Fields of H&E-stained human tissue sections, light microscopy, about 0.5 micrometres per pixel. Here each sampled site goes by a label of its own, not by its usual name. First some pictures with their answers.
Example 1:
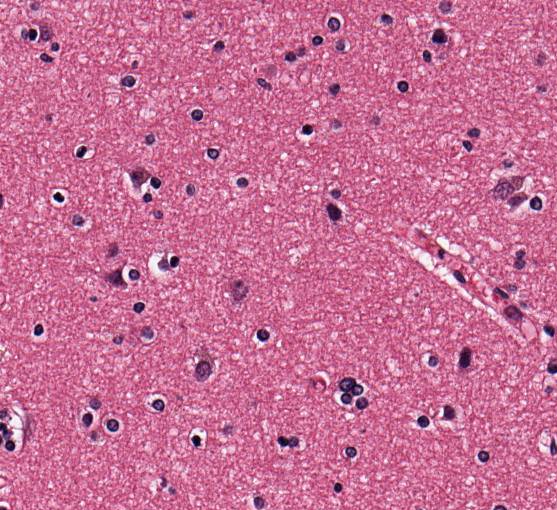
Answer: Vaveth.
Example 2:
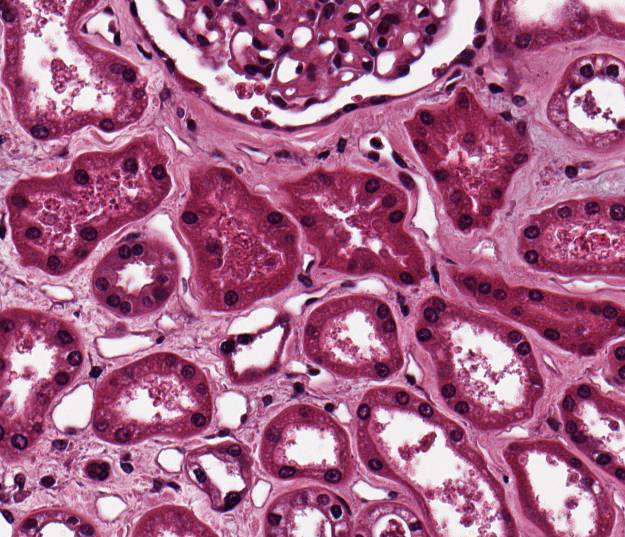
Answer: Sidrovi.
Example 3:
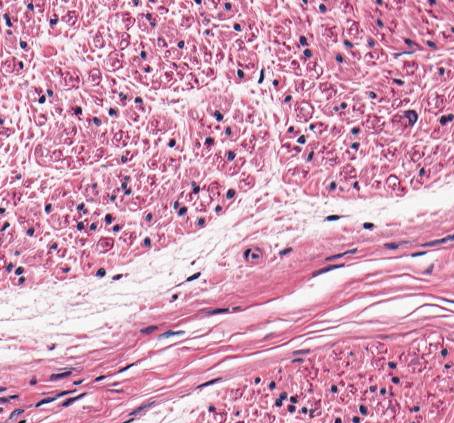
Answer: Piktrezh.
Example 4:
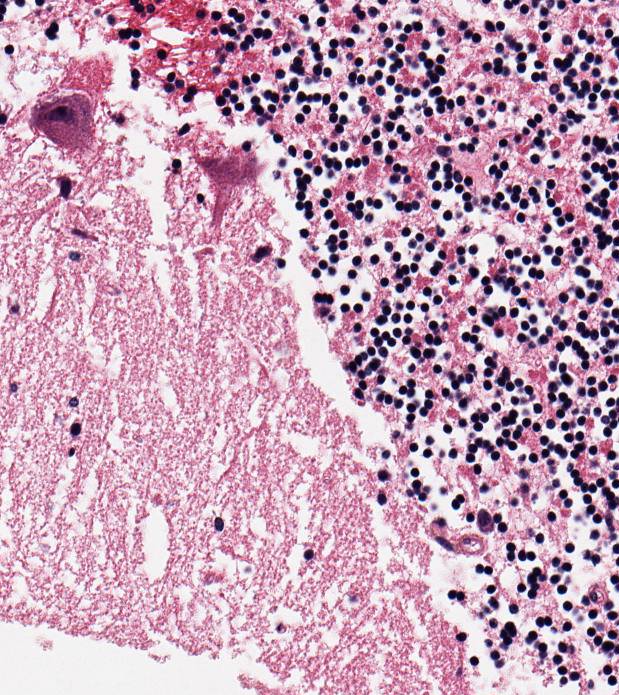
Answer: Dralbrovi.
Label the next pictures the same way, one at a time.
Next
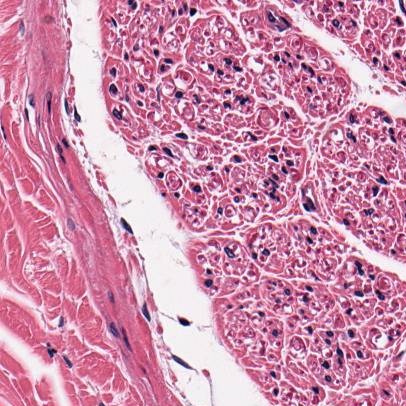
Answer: Piktrezh.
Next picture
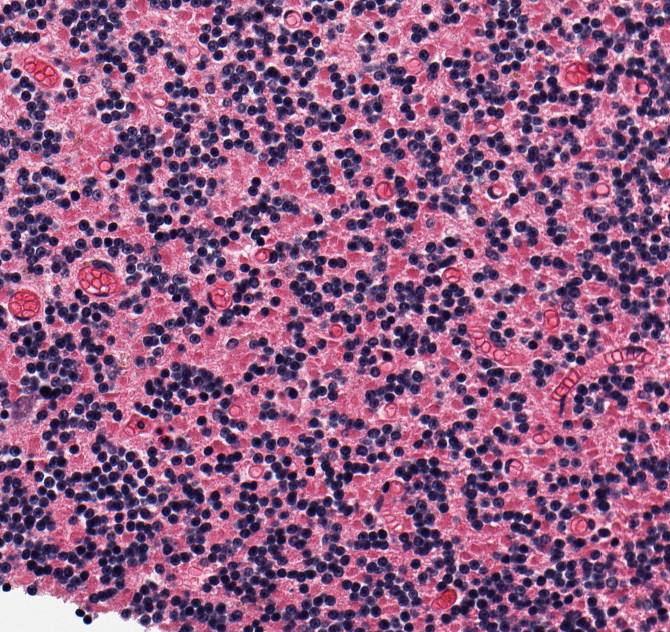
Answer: Dralbrovi.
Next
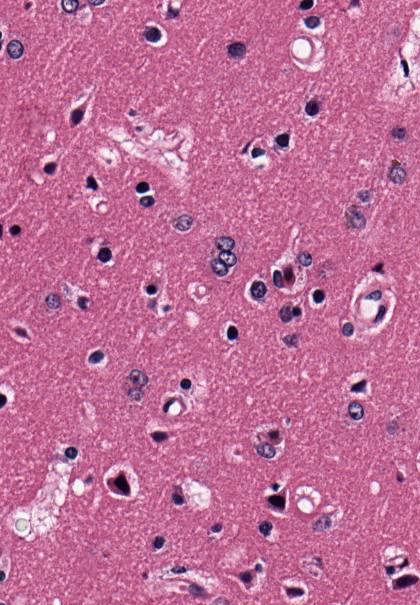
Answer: Vaveth.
